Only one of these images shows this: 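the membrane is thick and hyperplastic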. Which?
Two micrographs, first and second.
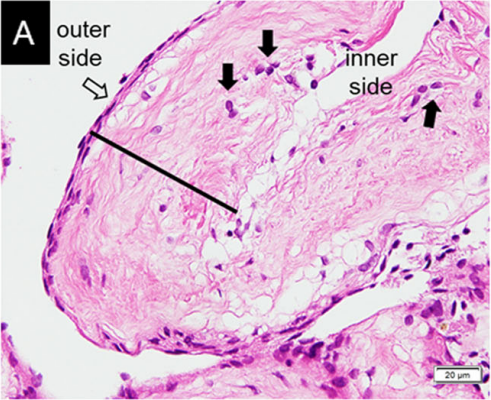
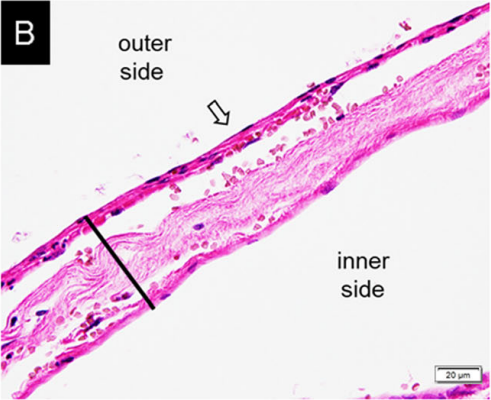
the first image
